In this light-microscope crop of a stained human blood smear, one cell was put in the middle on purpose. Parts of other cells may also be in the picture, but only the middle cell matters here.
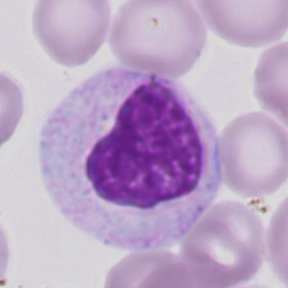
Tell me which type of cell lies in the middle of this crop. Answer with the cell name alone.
metamyelocyte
